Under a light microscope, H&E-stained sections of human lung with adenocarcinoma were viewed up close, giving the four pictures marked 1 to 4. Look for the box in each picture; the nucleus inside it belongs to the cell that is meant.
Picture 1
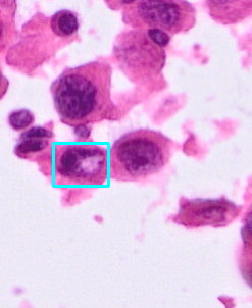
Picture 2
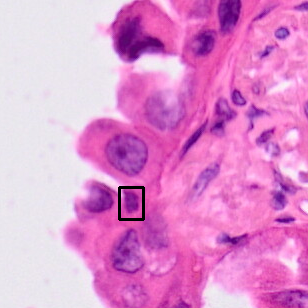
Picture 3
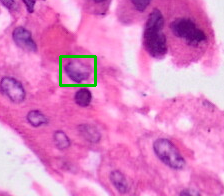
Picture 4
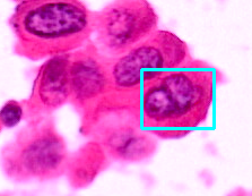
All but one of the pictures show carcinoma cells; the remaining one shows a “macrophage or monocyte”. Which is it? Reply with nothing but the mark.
3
